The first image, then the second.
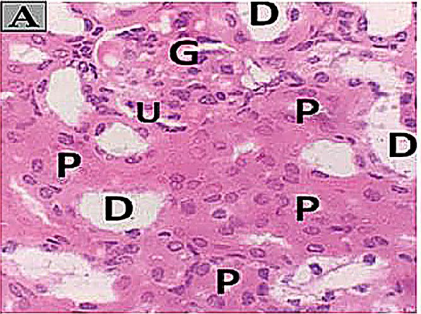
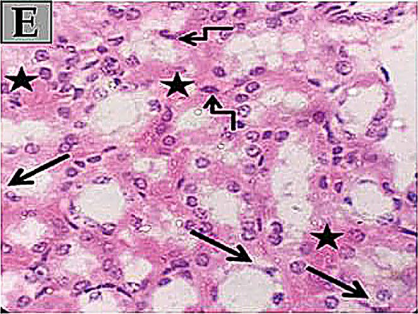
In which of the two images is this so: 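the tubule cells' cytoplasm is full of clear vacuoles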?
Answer: The second image.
